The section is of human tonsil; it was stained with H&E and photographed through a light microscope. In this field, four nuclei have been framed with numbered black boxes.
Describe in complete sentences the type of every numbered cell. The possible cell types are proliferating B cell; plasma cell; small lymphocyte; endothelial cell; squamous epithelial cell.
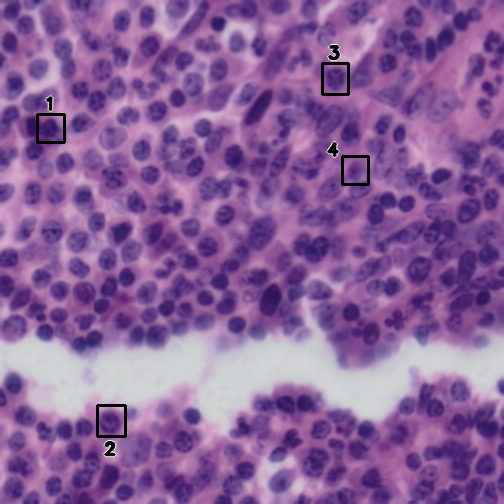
Cells 1, 2 and 3 are plasma cells. Cell 4 is a squamous epithelial cell.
